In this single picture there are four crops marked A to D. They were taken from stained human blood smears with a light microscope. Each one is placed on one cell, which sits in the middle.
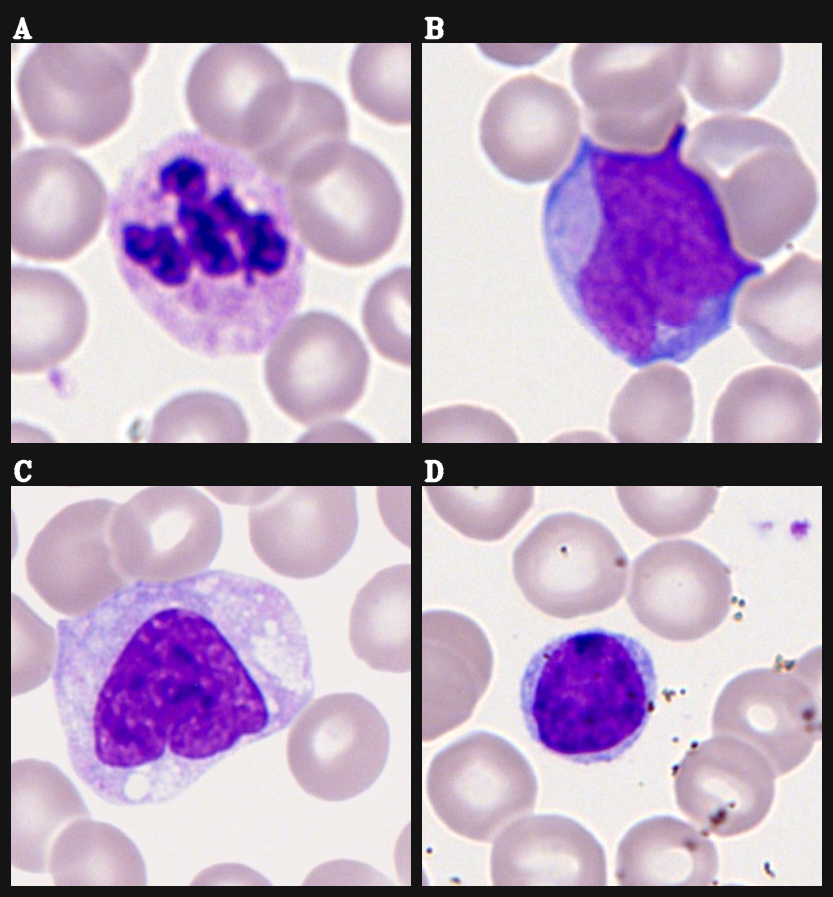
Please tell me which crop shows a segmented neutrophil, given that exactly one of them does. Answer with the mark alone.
A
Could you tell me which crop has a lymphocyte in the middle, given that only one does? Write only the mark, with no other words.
D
